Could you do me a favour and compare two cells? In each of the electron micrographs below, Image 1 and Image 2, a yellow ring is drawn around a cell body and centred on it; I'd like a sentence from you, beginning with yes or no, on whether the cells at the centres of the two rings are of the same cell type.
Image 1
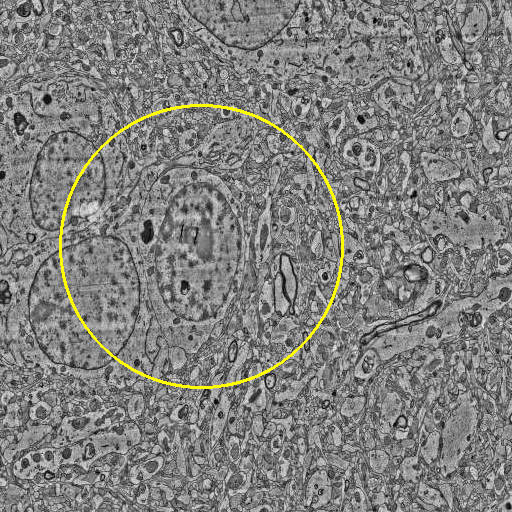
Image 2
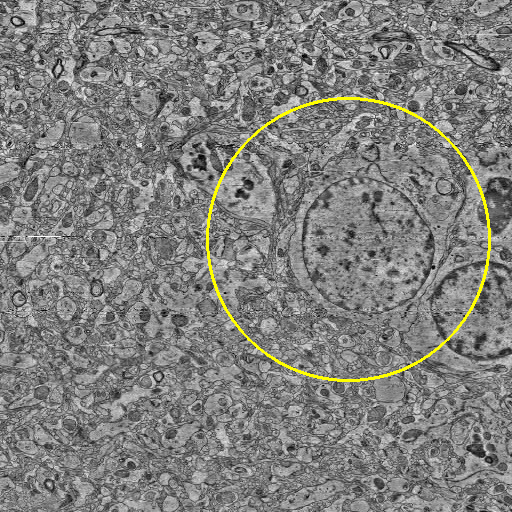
No, the two cells are of two cell types.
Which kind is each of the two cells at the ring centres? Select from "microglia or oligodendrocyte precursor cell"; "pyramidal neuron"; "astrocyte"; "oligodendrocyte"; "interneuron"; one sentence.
The cell at the centre of the ring is an interneuron in the first picture and an astrocyte in the second.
